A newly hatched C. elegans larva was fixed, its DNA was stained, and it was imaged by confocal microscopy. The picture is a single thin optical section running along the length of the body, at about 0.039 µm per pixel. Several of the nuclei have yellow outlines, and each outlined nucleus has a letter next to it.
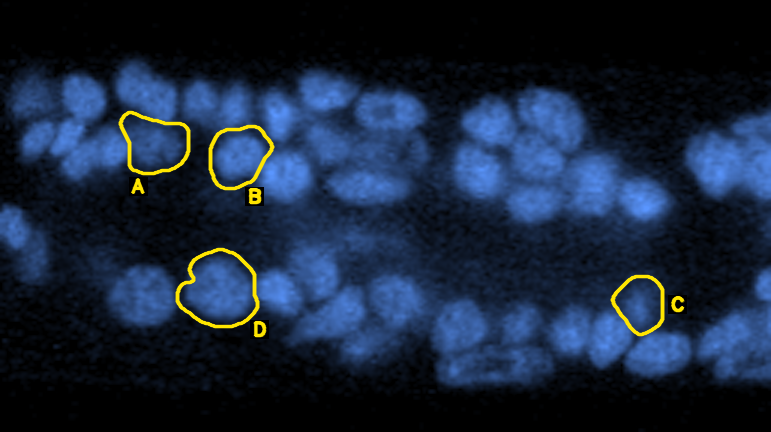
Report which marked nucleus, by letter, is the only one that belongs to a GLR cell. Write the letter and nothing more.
C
